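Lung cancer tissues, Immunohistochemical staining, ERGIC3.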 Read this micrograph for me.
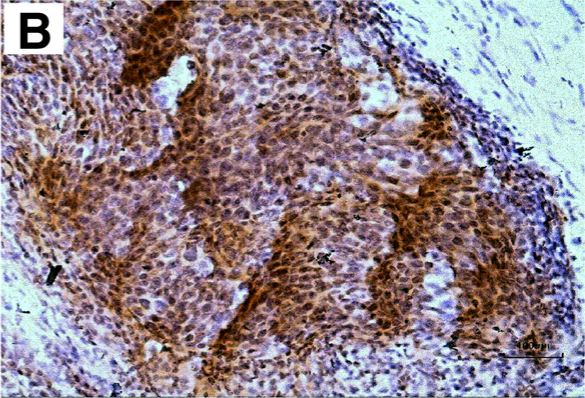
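This is a squamous cell carcinoma forming a large solid nest of tumor cells. The cells are polygonal with moderate cytoplasm and round to oval nuclei, packed in sheets without gland lumens. Brown staining is patchy, strongest in bands and clusters toward the periphery, while the central cells are paler. At the upper right the nest is bordered by a rim of small dark blue cells and then by loose, lightly stained connective tissue with spindle-shaped nuclei. A few clefts and pale spaces break up the tumor sheet.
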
